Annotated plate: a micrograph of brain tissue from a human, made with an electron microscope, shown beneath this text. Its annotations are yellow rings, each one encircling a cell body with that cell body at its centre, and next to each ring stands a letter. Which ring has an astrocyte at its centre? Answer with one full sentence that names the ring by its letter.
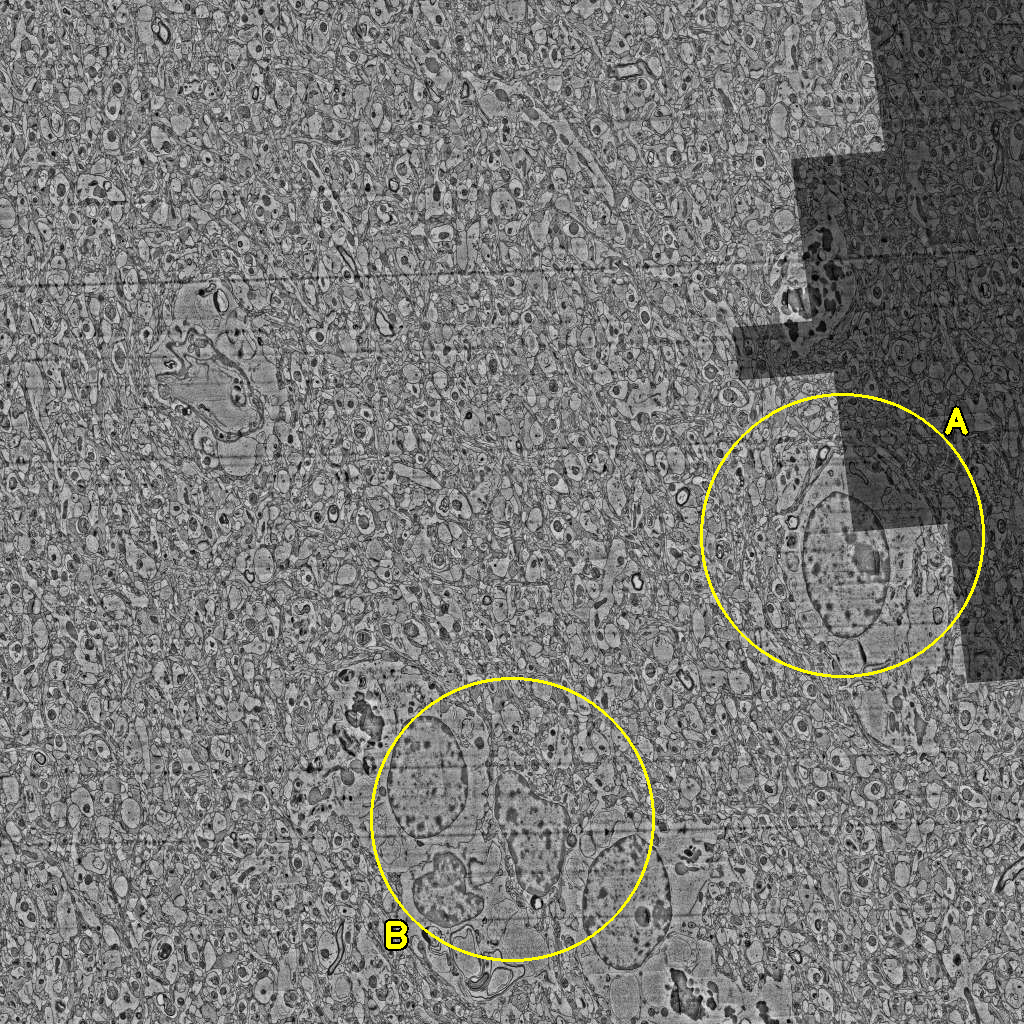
In the plate, ring A is the one centred on a cell of that kind.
